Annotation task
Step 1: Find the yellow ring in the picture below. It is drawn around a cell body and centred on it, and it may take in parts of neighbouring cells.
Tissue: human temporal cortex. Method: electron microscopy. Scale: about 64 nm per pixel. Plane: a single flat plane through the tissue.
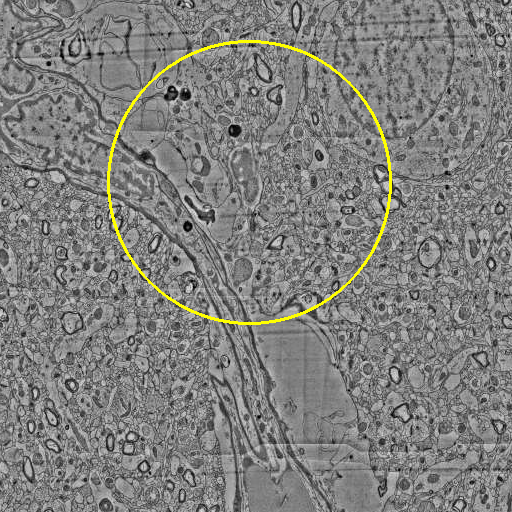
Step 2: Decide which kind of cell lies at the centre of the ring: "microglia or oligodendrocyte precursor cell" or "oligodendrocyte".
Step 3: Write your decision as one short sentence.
The kind of cell at the ring's centre is a microglial cell or oligodendrocyte precursor cell.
